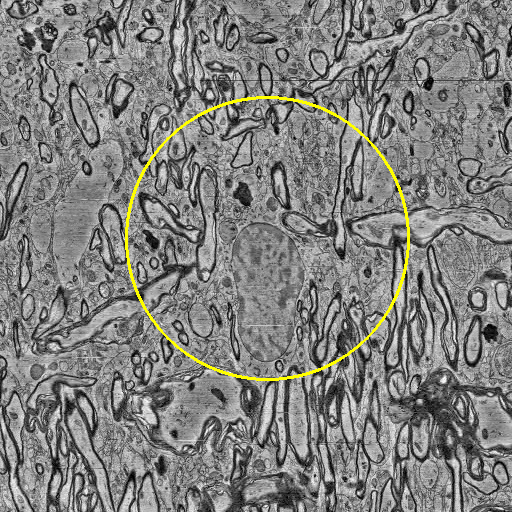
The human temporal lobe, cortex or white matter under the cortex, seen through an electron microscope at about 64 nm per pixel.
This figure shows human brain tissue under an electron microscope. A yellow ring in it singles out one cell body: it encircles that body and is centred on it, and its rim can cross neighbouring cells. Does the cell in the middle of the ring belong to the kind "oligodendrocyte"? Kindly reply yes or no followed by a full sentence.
No, the cell centred in the figure's ring belongs to a different kind from the one asked.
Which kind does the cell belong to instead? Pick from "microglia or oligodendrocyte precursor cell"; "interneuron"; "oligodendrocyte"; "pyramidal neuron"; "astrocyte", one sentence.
What the ring is centred on is a microglial cell or oligodendrocyte precursor cell.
